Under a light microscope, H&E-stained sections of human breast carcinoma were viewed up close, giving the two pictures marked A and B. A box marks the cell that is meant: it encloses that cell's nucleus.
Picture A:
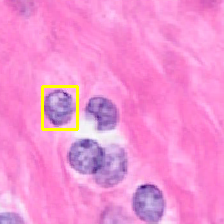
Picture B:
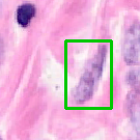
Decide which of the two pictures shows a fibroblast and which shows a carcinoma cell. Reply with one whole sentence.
Picture A shows a carcinoma cell and picture B shows a fibroblast.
